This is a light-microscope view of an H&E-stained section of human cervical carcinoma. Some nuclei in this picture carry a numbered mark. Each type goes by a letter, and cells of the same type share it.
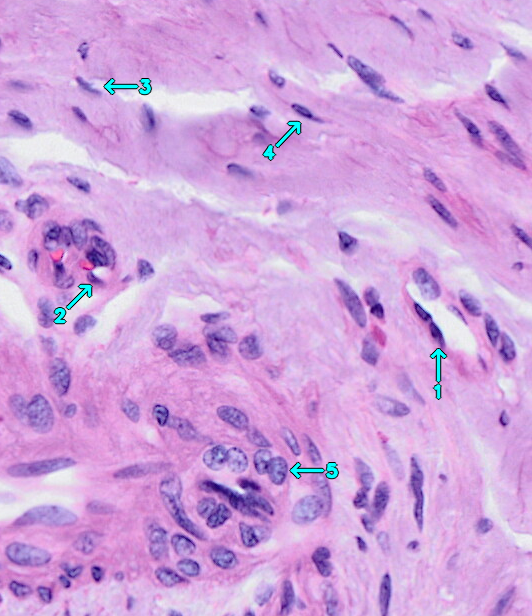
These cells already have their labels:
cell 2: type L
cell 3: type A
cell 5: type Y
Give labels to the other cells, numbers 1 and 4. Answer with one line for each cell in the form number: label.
1: type L
4: type A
